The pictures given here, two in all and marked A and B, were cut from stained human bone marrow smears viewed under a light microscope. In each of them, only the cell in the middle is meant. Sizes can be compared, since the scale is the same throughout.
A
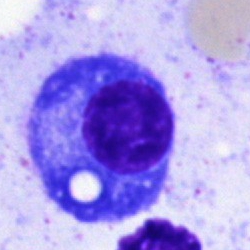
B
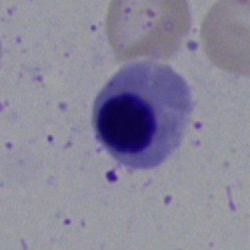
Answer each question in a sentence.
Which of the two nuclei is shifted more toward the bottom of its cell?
The nucleus in picture B lies further toward the bottom of its cell.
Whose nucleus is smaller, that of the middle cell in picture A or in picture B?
Smaller is the nucleus in picture B, and the other is about 2.5 times as large in area.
